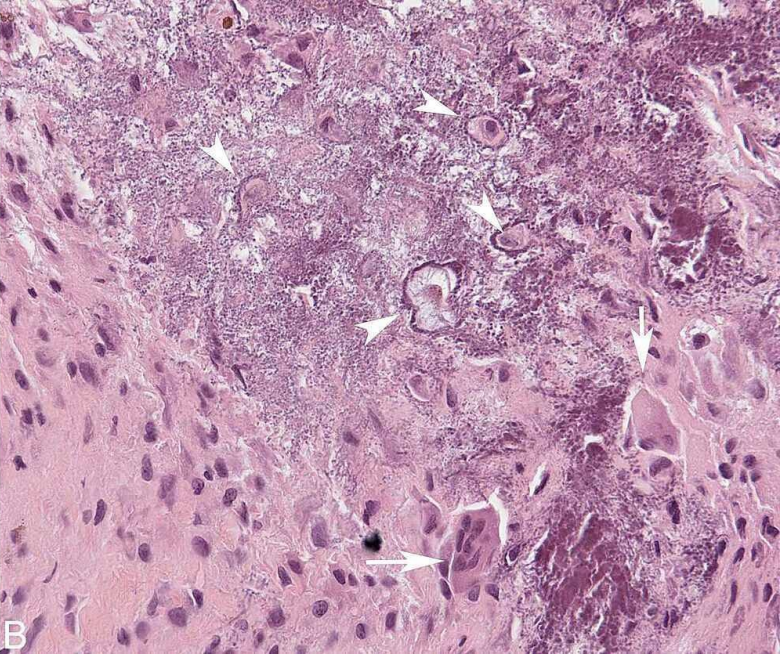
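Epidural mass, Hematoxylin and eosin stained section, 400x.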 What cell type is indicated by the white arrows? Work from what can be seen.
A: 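Marked cells are very large with abundant pink cytoplasm. Several nuclei lie within one cell. They border the purple deposits. On this evidence: foreign body-type giant cell.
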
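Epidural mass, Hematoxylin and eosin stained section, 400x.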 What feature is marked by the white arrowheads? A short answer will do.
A: Lacunes of chondrocytes.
